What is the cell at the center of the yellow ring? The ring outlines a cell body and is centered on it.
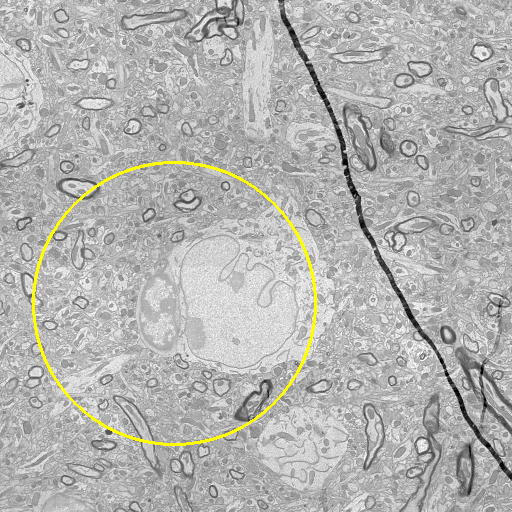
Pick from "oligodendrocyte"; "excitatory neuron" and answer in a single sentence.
The yellow ring is centered on an oligodendrocyte.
